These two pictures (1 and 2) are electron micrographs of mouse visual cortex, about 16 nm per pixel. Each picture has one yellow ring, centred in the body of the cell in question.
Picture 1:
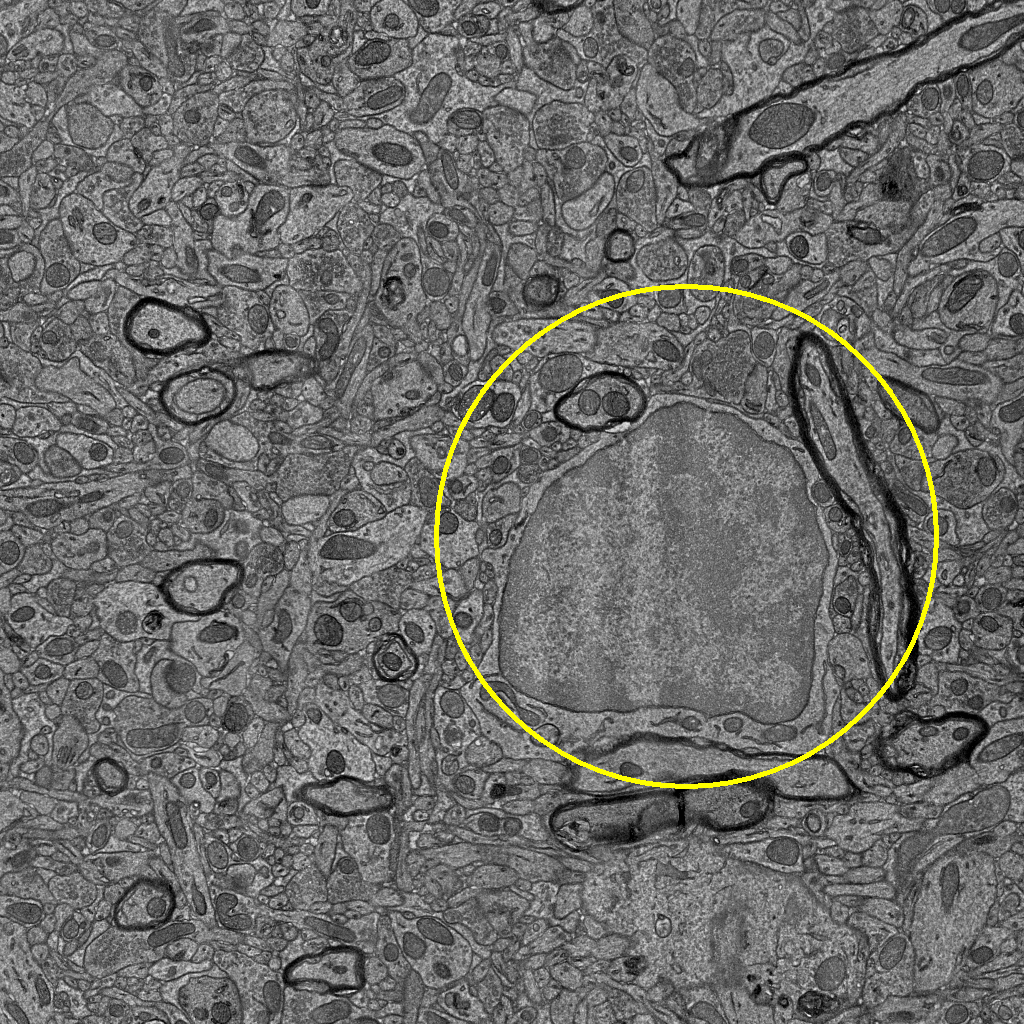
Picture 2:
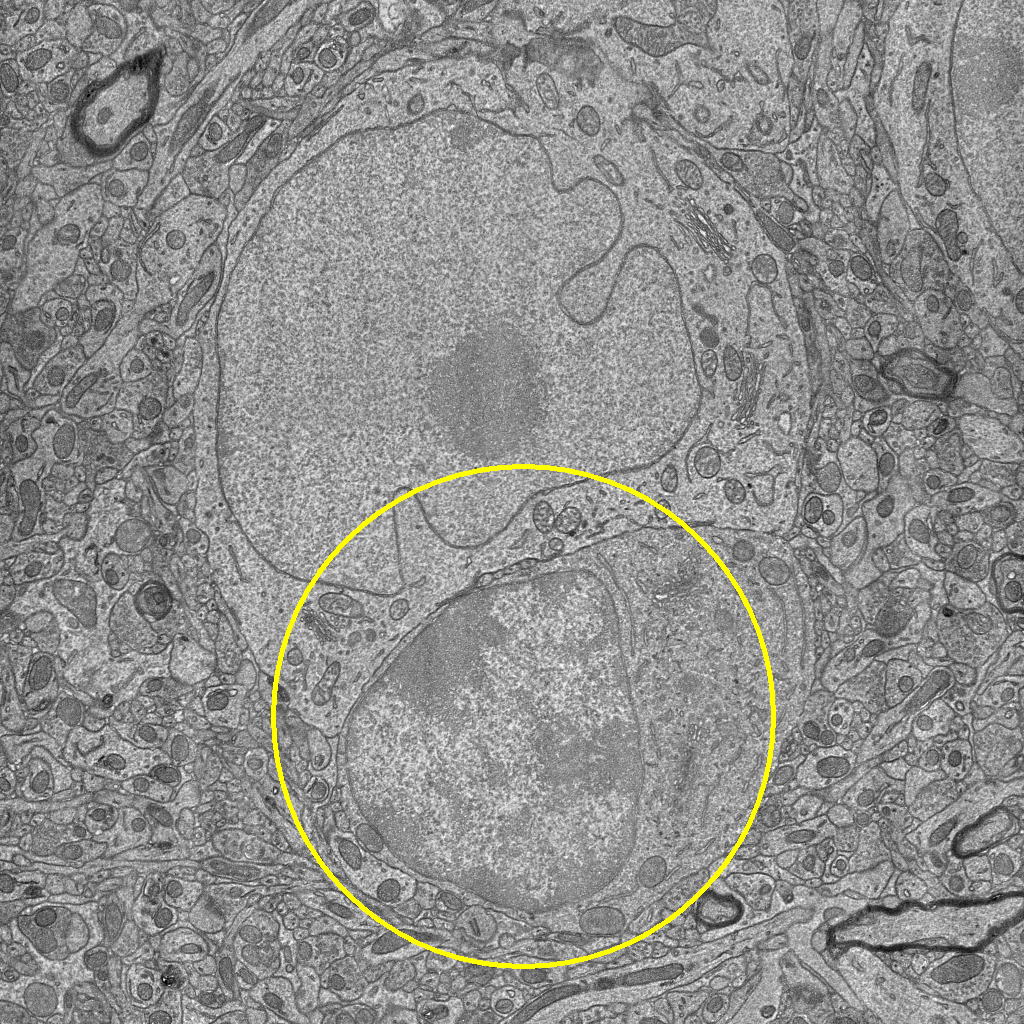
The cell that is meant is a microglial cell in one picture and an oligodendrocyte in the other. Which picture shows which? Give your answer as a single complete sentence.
Picture 2 shows an oligodendrocyte, while picture 1 shows a microglial cell.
